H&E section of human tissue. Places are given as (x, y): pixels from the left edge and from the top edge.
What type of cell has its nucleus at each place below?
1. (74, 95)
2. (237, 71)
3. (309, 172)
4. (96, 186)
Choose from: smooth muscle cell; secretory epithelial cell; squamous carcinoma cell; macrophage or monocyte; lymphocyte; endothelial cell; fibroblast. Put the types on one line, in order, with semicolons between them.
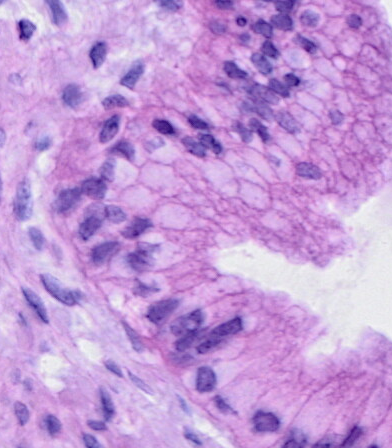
fibroblast; secretory epithelial cell; secretory epithelial cell; secretory epithelial cell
